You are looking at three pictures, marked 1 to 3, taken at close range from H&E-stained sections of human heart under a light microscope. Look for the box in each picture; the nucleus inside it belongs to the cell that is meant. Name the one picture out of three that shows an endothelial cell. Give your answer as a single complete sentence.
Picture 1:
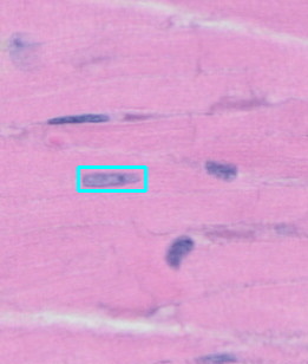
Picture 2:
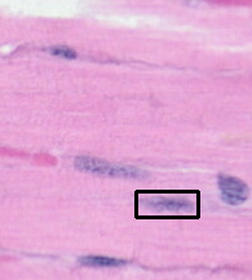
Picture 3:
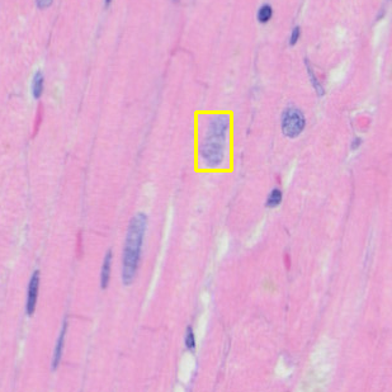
It is picture 2 that shows the endothelial cell.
